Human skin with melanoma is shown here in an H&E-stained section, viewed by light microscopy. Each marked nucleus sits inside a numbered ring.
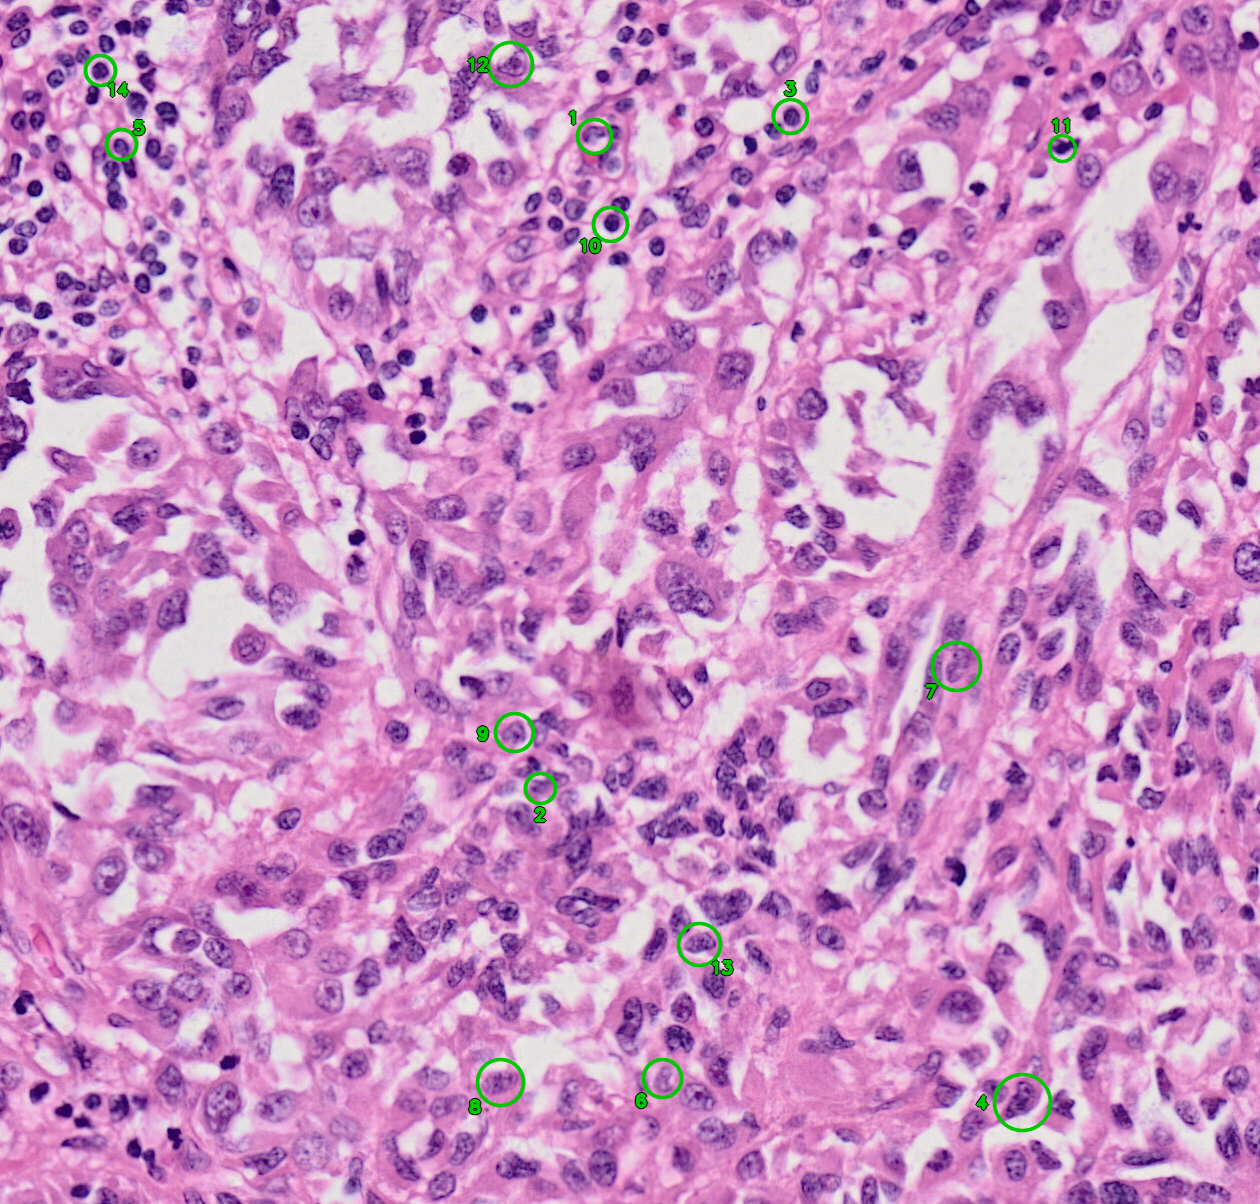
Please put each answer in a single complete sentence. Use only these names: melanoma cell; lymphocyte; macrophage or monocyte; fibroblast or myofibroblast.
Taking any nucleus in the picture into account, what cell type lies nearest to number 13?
The nucleus nearest to number 13 is that of a melanoma cell.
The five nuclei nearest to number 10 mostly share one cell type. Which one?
Most of the five nuclei nearest to number 10 are those of macrophages or monocytes.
